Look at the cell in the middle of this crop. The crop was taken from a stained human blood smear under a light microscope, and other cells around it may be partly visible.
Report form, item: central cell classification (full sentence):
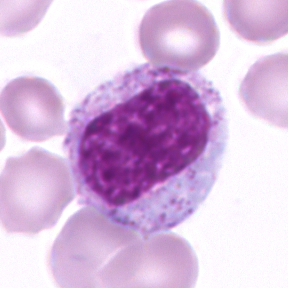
Within this crop, a metamyelocyte occupies the central position.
